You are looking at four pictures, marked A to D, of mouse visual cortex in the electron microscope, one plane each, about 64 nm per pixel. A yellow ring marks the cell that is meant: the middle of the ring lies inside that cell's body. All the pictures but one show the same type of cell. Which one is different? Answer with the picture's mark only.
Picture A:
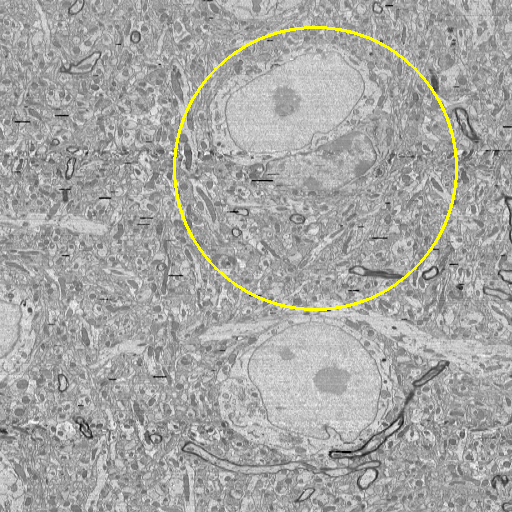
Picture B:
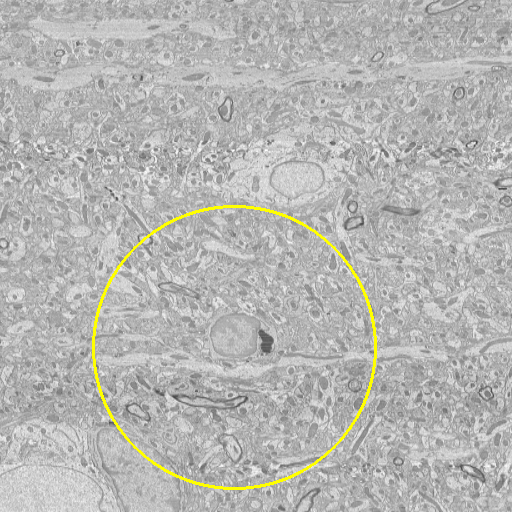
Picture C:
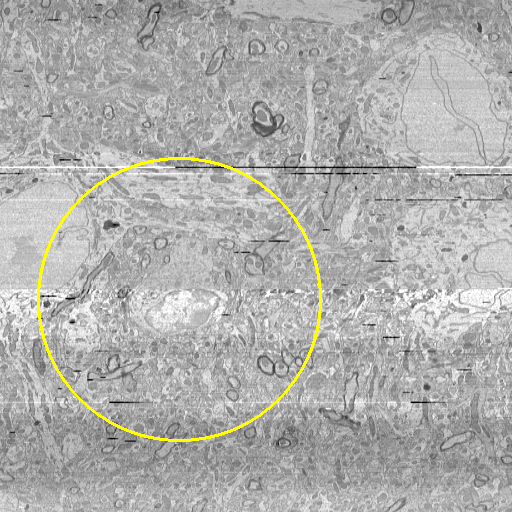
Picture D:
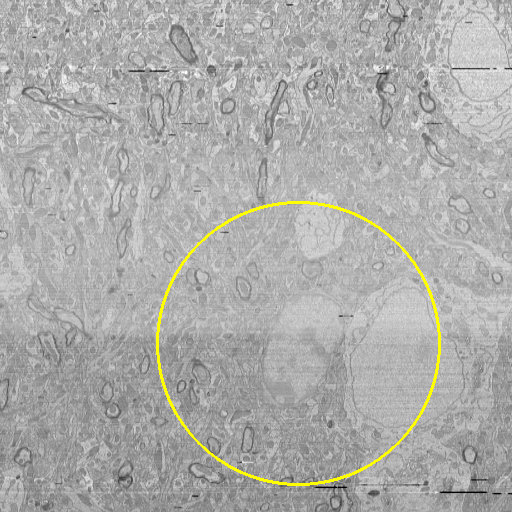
B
